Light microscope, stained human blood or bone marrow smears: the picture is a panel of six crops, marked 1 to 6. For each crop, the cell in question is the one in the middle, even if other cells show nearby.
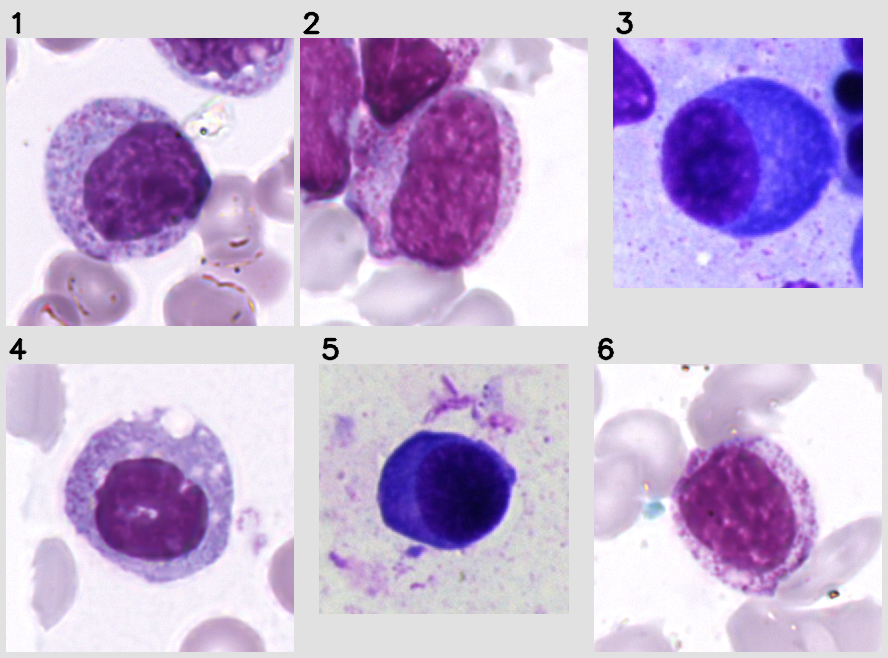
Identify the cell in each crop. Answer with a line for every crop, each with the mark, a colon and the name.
1: myelocyte
2: myelocyte
3: plasma cell
4: plasma cell
5: plasma cell
6: myelocyte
